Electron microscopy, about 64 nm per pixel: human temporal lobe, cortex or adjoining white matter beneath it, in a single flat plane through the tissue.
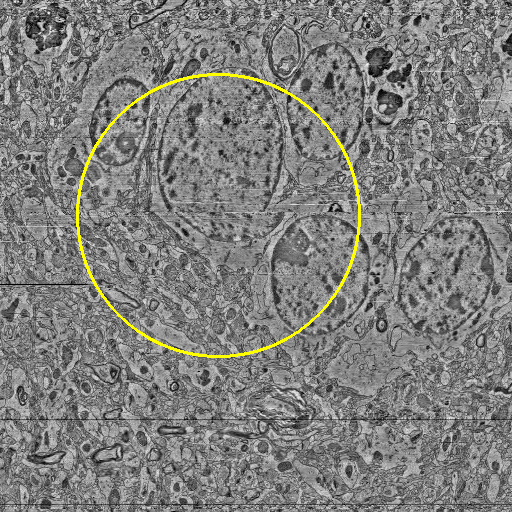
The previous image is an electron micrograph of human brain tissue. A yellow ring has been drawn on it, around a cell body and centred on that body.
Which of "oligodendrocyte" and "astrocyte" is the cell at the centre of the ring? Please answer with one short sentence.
The cell body at the centre of the ring belongs to an astrocyte.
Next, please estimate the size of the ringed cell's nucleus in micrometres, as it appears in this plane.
Approximately 11 micrometres long and 8 micrometres wide, in this plane.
